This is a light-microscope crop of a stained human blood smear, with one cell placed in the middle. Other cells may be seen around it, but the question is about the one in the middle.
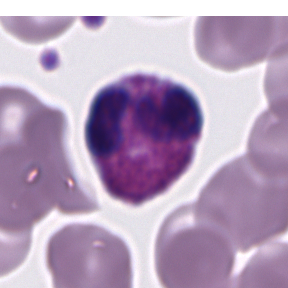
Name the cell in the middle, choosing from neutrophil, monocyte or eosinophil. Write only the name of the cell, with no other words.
eosinophil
